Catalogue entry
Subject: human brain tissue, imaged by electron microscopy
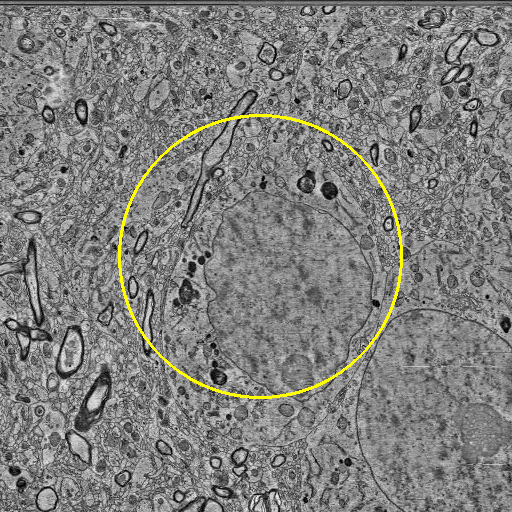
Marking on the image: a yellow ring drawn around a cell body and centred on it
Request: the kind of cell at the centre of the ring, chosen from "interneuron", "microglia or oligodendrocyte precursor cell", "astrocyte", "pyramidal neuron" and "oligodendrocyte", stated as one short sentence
The ring has a pyramidal neuron at its centre.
